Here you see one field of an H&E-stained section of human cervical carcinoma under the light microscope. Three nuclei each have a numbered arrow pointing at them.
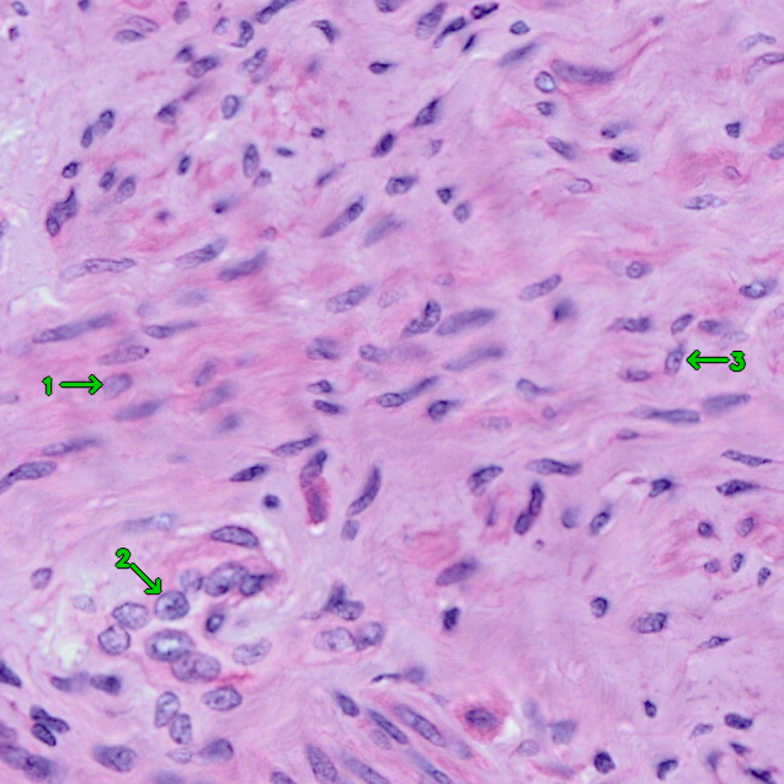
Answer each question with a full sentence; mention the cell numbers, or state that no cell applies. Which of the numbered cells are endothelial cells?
Cell 2 is an endothelial cell, and that holds for no other numbered cell.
